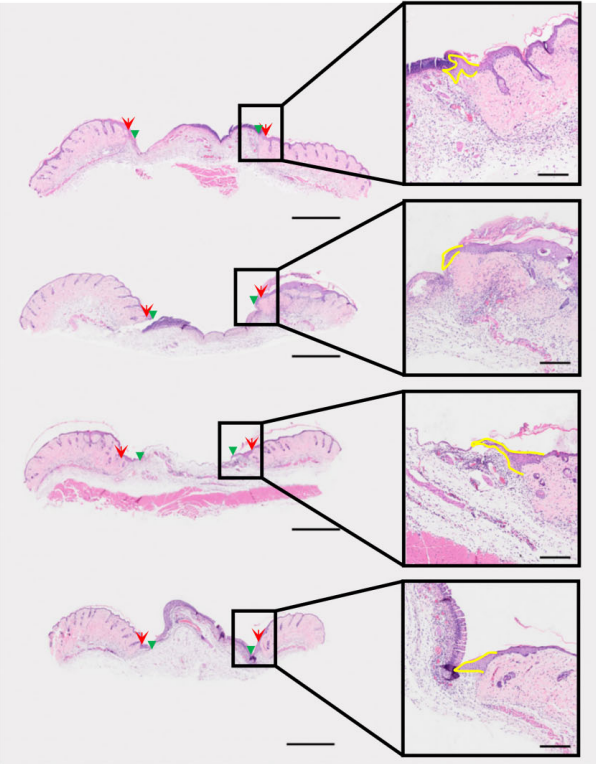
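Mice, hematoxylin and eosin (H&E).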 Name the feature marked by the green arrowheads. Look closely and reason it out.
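Green arrowheads sit just inward of the red arrows, toward the wound centre. They mark where the thin purple surface layer ends over the wound bed. The answer: tips of the epithelial tongues.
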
